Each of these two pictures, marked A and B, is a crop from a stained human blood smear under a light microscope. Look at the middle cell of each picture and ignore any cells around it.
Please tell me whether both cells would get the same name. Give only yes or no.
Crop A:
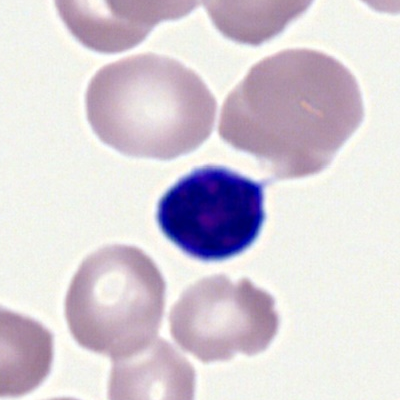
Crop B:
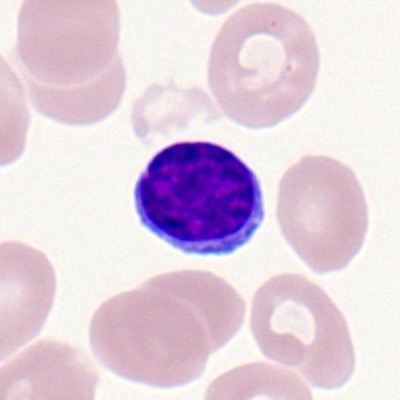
yes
